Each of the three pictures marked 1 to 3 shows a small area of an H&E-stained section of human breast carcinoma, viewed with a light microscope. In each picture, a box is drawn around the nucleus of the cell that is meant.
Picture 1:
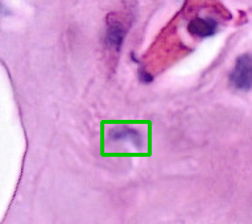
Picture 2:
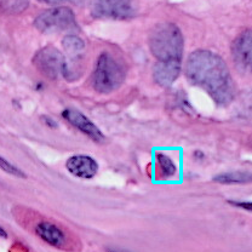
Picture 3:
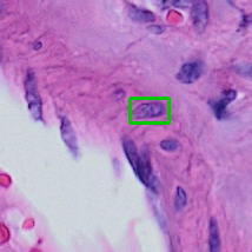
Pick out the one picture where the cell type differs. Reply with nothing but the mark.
1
